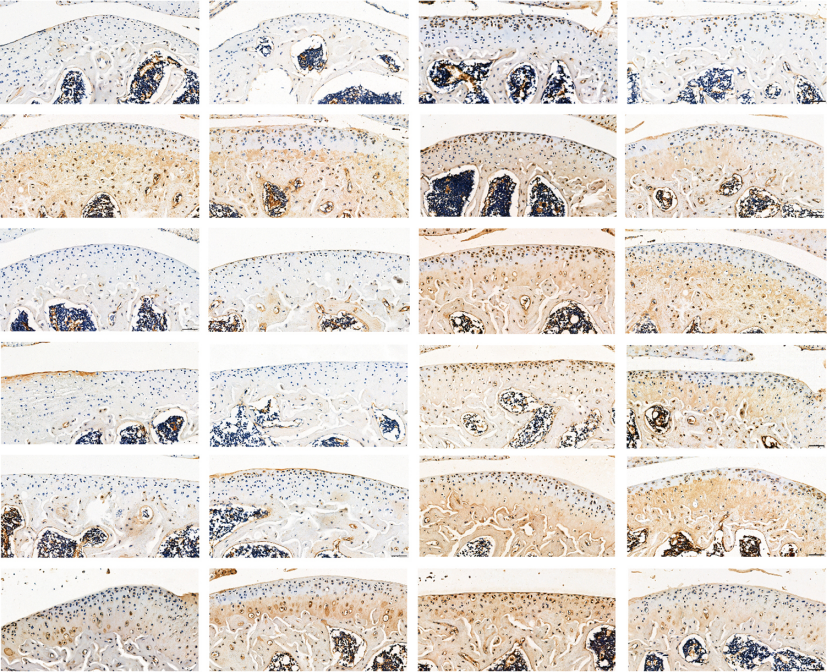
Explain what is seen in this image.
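This grid of sections shows articular cartilage over the underlying bone, with chondrocytes scattered singly in lacunae within a pale matrix. Below the cartilage, bone trabeculae surround marrow spaces packed with dark blue nuclei. The amount of brown stain in the chondrocytes and matrix varies from image to image.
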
